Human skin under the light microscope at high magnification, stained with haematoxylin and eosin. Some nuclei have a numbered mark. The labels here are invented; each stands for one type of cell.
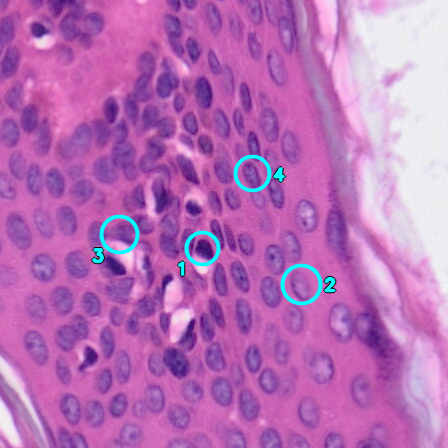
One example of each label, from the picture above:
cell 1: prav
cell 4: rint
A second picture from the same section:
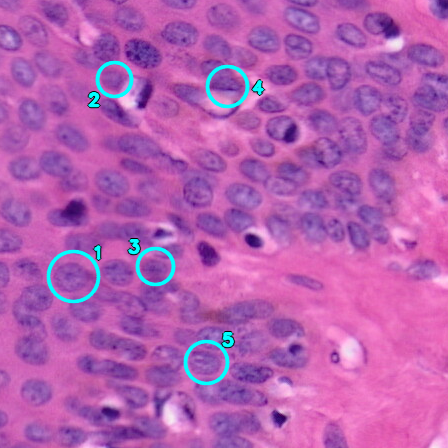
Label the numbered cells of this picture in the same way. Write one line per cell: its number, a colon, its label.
1: rint
2: prav
3: prav
4: prav
5: rint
